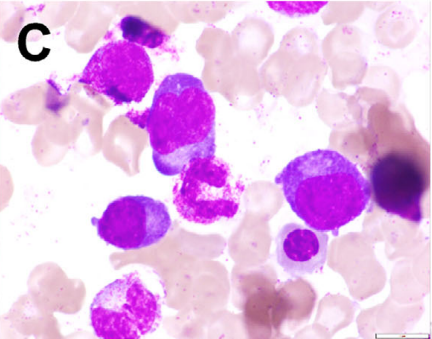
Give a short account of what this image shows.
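This bone marrow smear shows a small cluster of plasma cells lying among red cells and granulocytes. Several cells gather closely together; some have round, dense nuclei set off to one side of a rim of bluish cytoplasm, as plasma cells do. Others in the group have pink, granular cytoplasm and irregular nuclei, like developing granulocytes. A small round cell with scant cytoplasm lies near the lower middle, and a deeply stained dark cell sits at the right edge. Red cells fill the background, partly overlapping the nucleated cells.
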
